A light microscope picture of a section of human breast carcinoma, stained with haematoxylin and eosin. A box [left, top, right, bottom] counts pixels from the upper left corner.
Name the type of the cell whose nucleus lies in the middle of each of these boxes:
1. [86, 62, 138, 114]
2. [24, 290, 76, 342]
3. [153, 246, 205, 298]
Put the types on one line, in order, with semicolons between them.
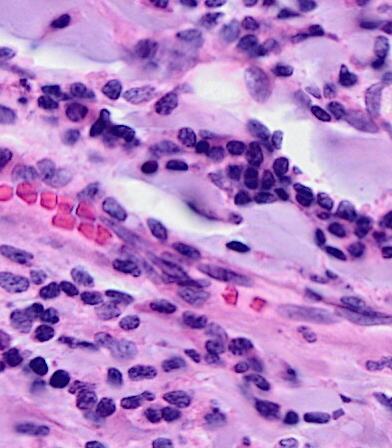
lymphocyte; lymphocyte; endothelial cell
